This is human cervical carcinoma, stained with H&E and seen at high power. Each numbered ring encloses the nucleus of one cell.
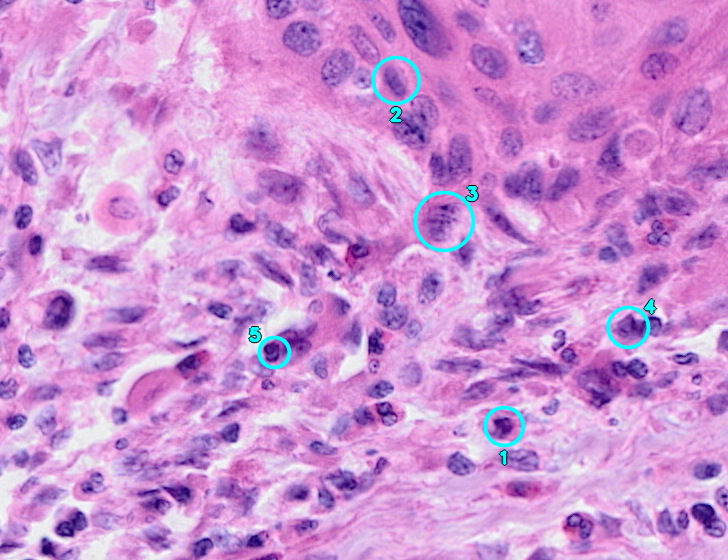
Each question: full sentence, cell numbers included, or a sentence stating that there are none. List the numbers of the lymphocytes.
Only number 5 of the marked cells is a lymphocyte.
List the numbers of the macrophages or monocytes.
In this section, the cells numbered 1 and 4 are macrophages or monocytes.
